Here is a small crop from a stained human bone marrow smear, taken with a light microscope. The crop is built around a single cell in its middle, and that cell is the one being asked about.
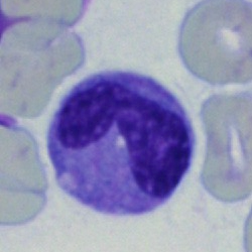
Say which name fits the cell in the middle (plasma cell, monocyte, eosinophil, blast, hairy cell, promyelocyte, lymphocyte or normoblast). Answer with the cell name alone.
monocyte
